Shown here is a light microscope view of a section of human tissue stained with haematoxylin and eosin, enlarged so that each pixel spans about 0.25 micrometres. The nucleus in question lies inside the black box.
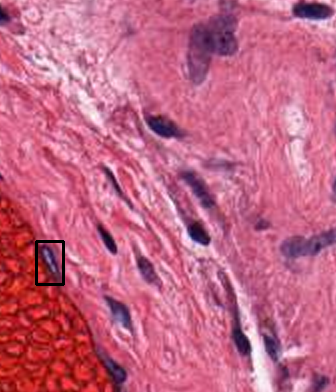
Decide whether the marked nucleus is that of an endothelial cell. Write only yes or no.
yes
